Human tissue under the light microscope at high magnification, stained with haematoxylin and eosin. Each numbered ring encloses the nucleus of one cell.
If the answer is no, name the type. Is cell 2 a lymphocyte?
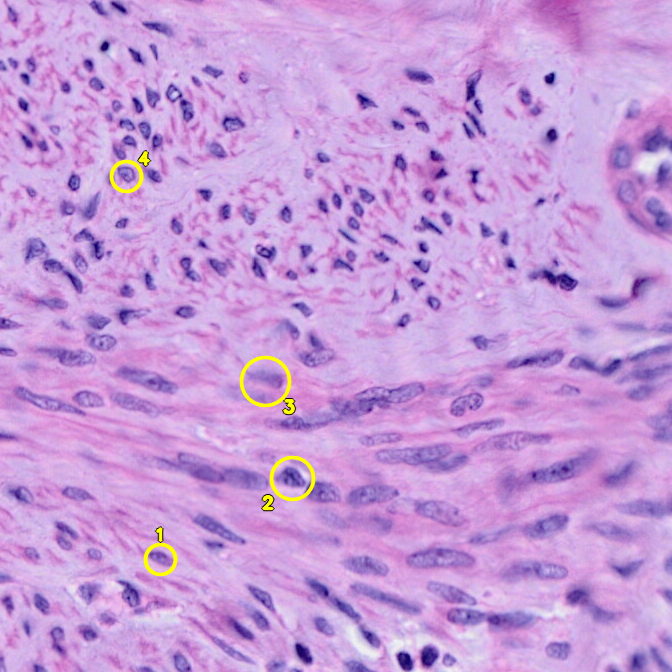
Yes.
